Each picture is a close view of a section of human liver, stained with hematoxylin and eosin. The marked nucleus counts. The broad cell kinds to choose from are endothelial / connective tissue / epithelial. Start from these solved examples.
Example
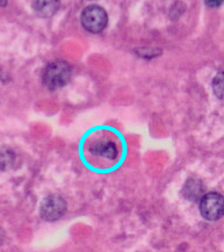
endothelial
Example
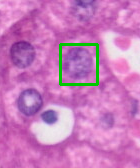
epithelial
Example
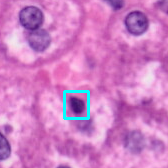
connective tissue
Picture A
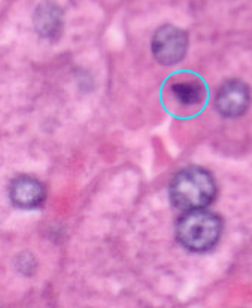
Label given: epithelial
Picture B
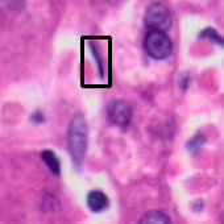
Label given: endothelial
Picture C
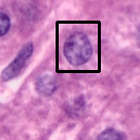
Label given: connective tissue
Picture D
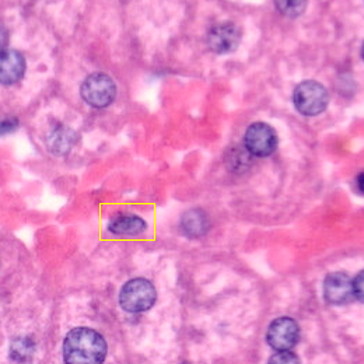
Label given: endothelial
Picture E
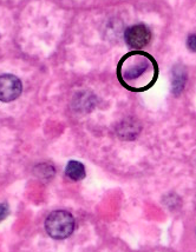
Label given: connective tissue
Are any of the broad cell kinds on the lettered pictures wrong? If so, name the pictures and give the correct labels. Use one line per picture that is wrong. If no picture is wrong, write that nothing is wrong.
A should be connective tissue, not epithelial
C should be epithelial, not connective tissue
